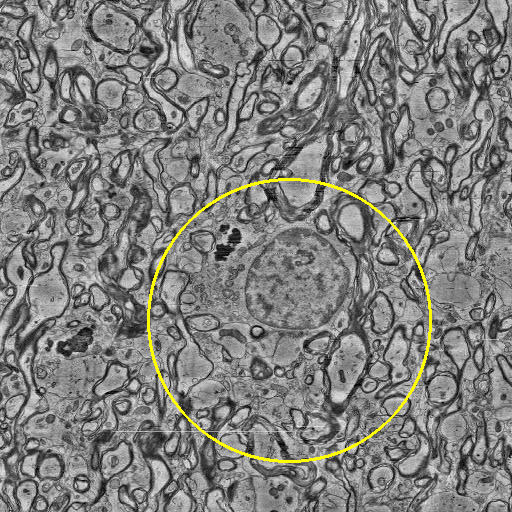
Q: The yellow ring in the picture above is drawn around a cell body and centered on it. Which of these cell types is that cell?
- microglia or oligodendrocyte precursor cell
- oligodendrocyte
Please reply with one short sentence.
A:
The cell body at the ring's center belongs to an oligodendrocyte.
